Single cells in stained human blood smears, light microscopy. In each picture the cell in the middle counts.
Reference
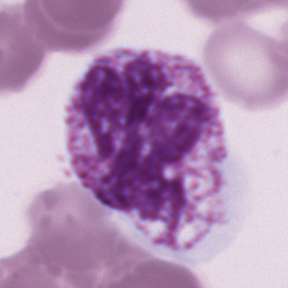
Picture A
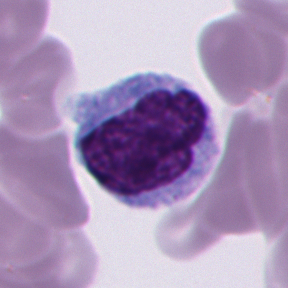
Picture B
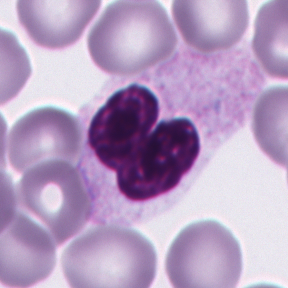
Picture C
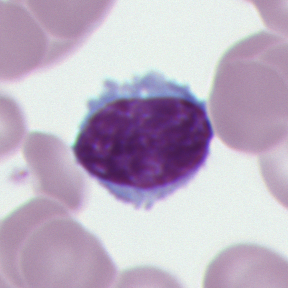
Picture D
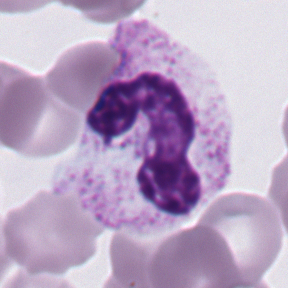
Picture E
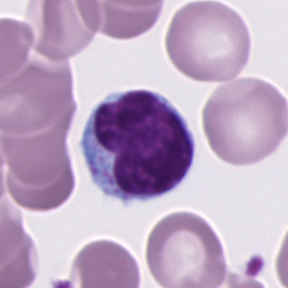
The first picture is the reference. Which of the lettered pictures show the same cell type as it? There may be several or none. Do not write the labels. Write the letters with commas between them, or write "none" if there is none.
B, D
